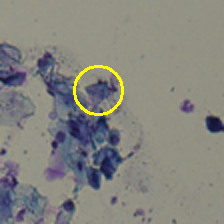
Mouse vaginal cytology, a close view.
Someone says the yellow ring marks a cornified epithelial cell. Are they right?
They are right: it is a cornified epithelial cell.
